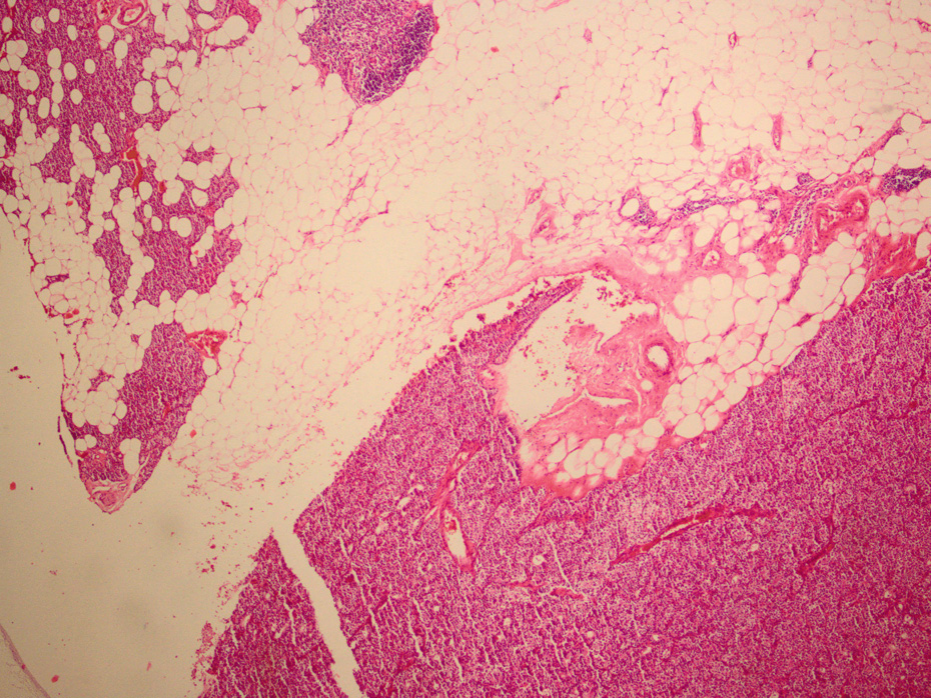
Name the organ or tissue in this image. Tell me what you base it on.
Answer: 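Parathyroid gland. Small nests and cords of densely packed cells with dark round nuclei are interspersed with many adipocytes at upper left. Abundant fat separates the cellular lobules.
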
